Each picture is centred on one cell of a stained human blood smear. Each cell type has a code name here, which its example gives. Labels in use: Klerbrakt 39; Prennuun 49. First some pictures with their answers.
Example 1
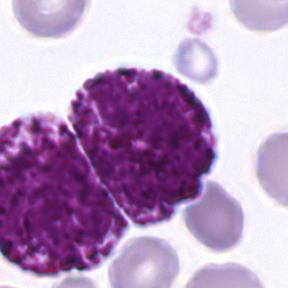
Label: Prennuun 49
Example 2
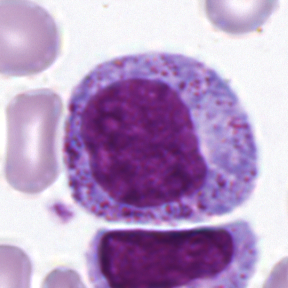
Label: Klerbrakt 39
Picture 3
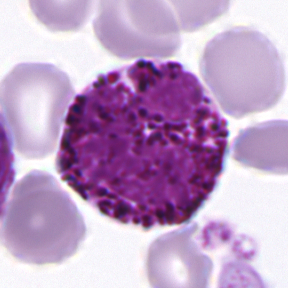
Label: Prennuun 49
